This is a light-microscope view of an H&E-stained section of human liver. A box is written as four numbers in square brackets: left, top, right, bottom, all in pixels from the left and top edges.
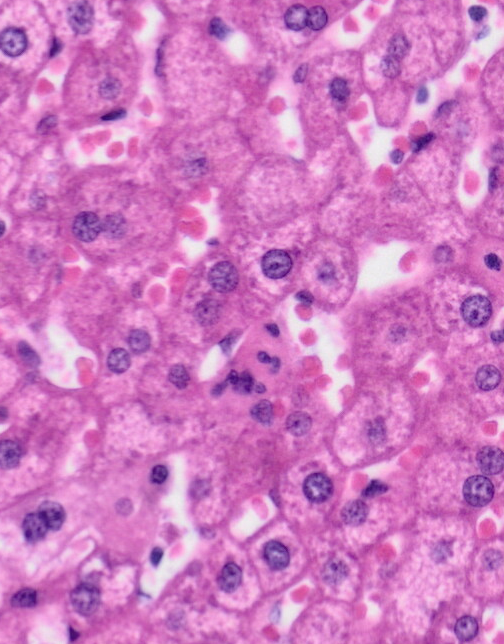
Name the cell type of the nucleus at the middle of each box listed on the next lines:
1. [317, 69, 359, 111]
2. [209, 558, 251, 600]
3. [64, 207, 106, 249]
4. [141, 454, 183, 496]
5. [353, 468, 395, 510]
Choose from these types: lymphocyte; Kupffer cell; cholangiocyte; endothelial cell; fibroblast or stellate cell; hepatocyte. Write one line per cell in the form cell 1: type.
cell 1: hepatocyte
cell 2: hepatocyte
cell 3: hepatocyte
cell 4: Kupffer cell
cell 5: endothelial cell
